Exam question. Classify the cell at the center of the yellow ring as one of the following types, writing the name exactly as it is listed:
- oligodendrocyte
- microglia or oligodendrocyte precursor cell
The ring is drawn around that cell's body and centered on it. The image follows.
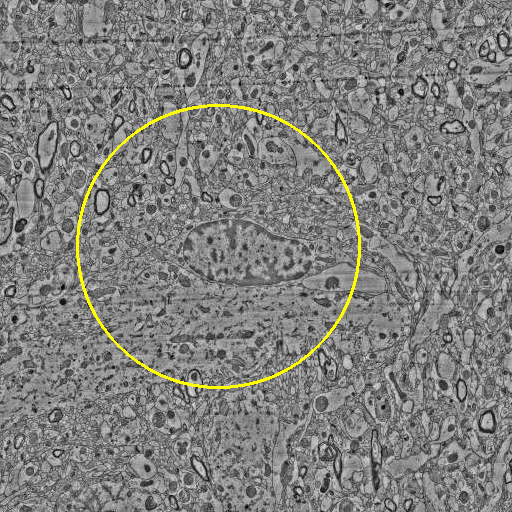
microglia or oligodendrocyte precursor cell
